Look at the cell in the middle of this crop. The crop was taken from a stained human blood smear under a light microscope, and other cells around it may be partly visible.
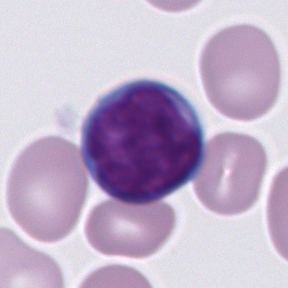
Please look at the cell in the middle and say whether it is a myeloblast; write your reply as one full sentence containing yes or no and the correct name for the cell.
No, what is centred in the crop is not a myeloblast but a typical lymphocyte.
